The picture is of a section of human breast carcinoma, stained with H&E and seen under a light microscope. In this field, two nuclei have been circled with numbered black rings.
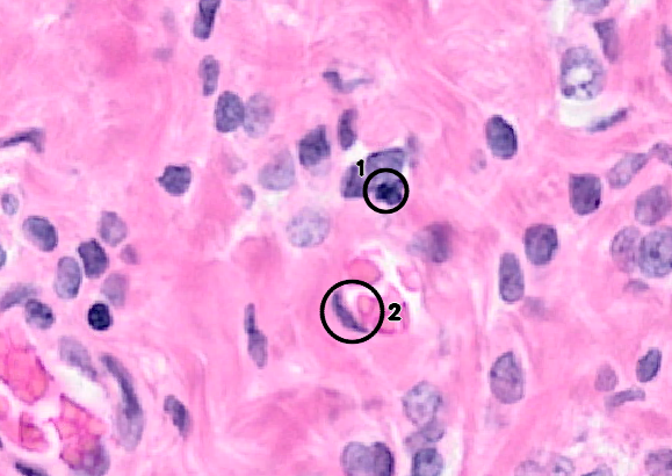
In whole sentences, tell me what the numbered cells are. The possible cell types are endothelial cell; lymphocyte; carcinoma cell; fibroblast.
Cell 1 is a lymphocyte and cell 2 is an endothelial cell.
